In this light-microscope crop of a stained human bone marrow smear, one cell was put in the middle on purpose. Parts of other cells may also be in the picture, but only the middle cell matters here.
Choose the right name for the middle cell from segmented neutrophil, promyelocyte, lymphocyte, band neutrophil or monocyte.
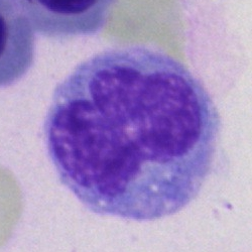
monocyte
